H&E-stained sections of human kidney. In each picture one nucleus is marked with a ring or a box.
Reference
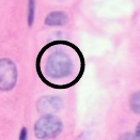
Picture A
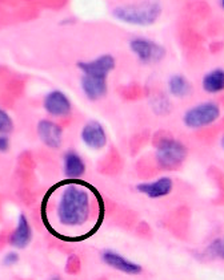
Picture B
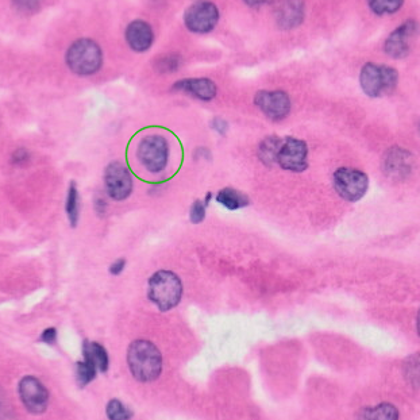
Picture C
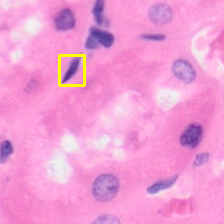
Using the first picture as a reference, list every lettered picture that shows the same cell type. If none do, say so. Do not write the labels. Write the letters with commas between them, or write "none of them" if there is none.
B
